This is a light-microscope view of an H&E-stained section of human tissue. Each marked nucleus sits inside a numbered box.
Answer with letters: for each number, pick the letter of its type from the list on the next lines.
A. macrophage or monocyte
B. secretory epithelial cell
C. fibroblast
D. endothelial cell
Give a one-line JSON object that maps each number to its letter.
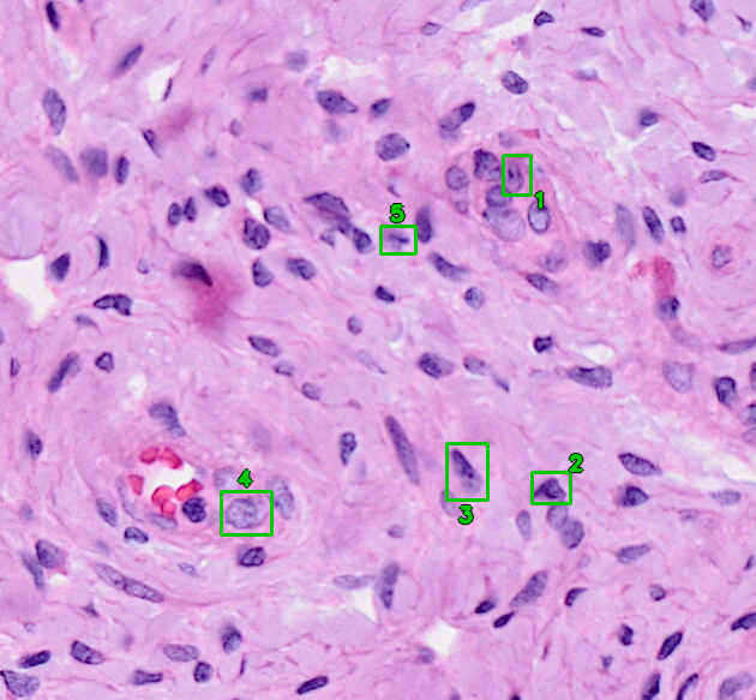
{"1": "D", "2": "C", "3": "C", "4": "D", "5": "C"}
